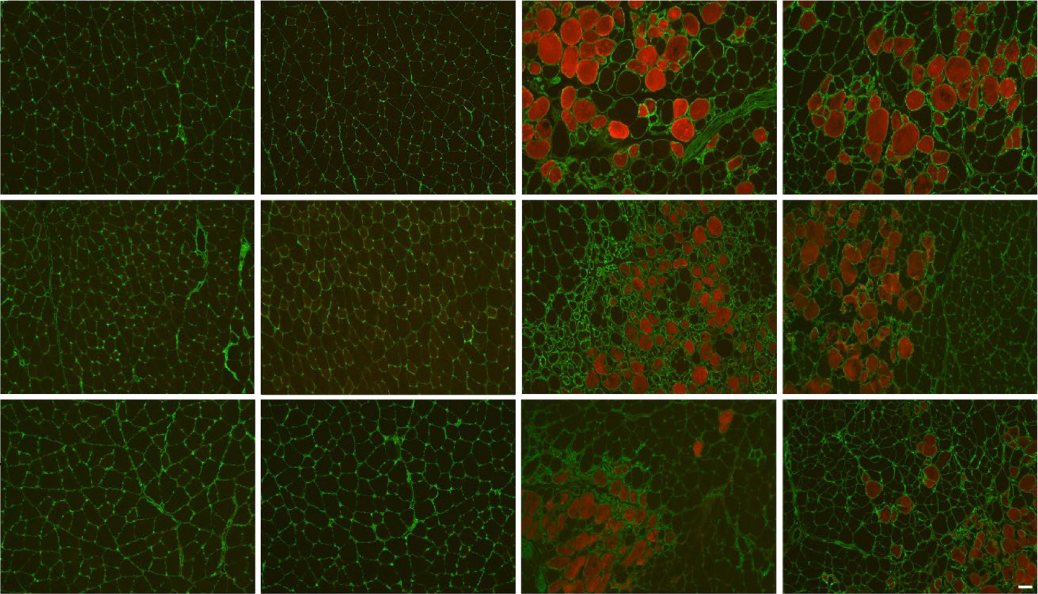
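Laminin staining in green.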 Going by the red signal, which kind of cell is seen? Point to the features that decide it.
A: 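Red fills whole polygonal fiber profiles outlined in green. Red profiles appear only in some tiles and are scattered among unstained fibers. So: myofibers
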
